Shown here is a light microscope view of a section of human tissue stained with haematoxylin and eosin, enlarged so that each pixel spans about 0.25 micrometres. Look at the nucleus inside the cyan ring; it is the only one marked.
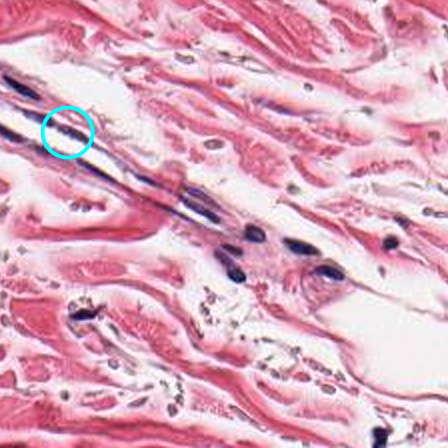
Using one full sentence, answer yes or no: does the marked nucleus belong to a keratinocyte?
No, not to a keratinocyte does the marked nucleus belong, but to a supporting cell.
